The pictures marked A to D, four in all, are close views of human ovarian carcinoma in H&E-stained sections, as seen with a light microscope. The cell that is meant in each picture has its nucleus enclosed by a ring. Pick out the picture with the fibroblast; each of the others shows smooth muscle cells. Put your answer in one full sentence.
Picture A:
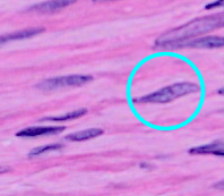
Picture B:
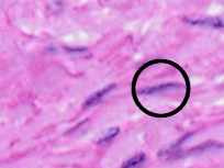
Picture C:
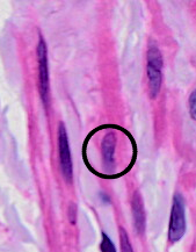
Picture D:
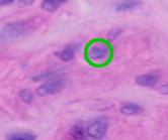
The cell in picture B is the fibroblast.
